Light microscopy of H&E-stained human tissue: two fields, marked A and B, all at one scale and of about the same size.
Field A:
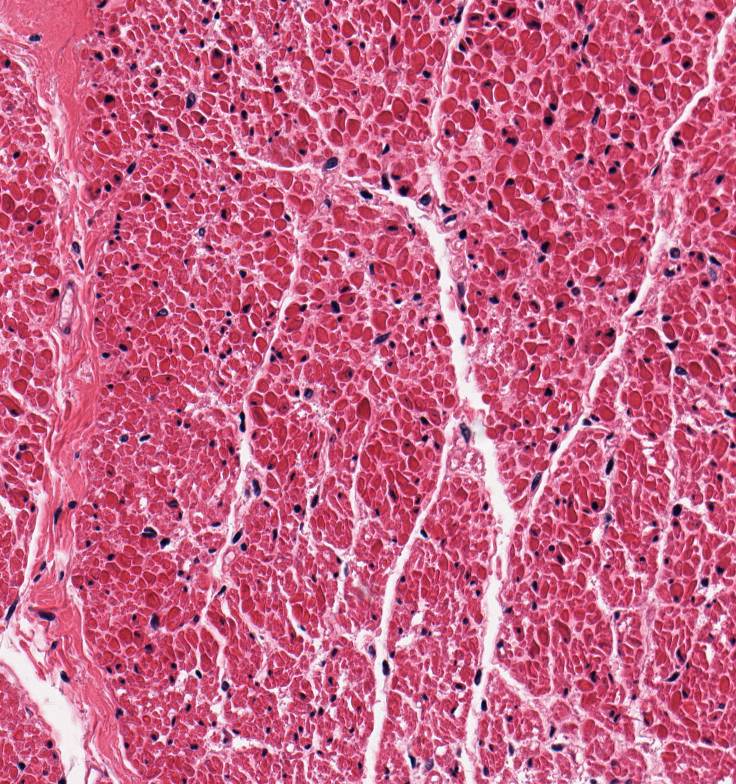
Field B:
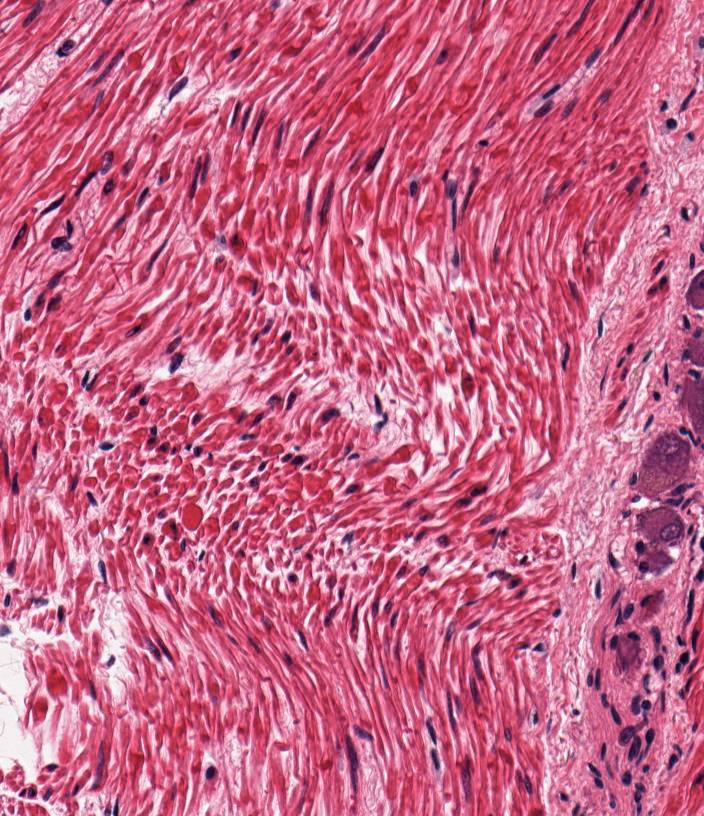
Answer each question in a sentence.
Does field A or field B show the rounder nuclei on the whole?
Rounder nuclei lie in field A.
